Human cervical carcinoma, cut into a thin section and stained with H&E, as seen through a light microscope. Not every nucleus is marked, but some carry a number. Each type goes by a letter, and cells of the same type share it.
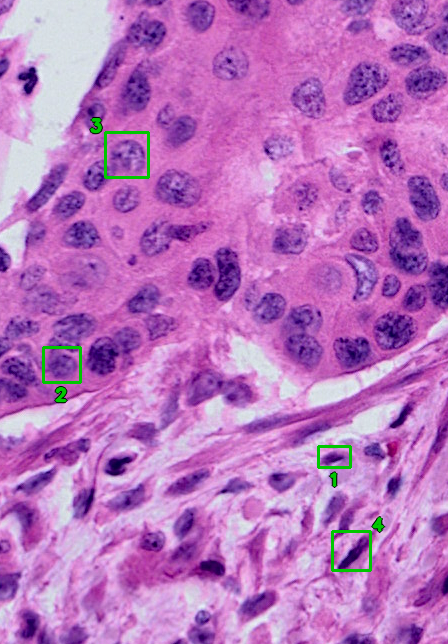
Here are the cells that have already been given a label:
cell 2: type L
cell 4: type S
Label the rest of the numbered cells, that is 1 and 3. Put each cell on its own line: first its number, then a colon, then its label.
1: type S
3: type L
